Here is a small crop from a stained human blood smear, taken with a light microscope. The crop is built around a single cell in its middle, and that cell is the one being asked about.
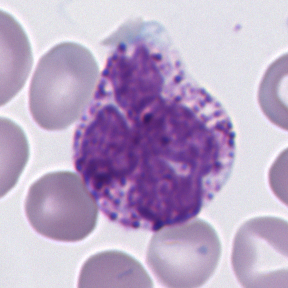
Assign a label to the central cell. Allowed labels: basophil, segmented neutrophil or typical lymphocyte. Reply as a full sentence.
What the crop centres on is a basophil.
